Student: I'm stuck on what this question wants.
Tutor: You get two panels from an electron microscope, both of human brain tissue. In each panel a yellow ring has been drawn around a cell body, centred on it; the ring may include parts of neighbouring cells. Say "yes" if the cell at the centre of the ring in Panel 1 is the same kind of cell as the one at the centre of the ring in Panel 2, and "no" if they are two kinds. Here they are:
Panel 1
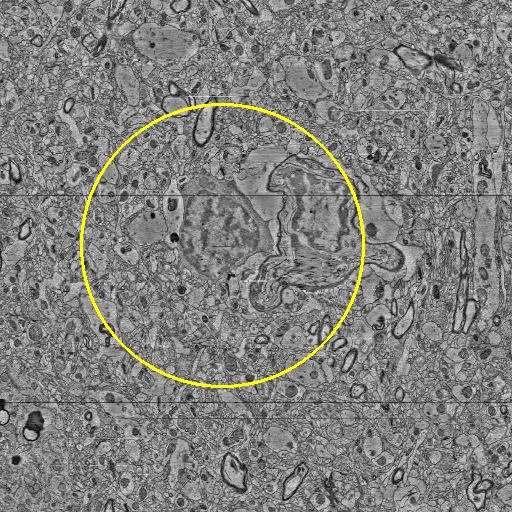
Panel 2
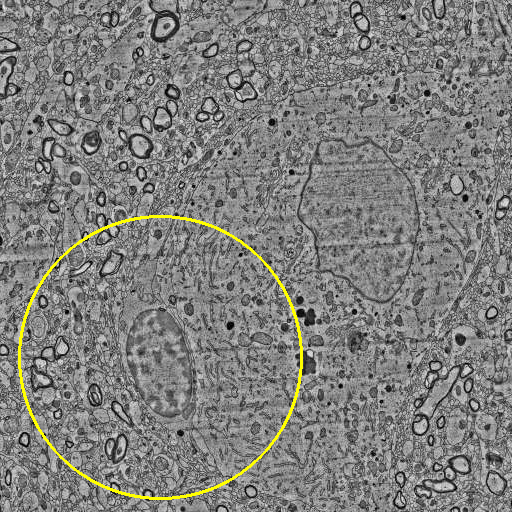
yes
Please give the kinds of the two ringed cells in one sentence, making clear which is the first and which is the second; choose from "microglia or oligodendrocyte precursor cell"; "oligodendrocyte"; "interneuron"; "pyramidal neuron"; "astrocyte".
The cell at the ring centre is an oligodendrocyte in both pictures.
